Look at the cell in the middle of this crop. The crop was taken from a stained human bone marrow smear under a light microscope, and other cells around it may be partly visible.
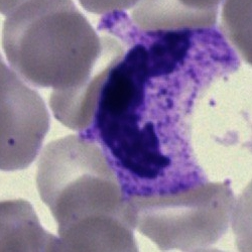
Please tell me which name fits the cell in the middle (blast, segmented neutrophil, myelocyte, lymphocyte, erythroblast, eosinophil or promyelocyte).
segmented neutrophil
